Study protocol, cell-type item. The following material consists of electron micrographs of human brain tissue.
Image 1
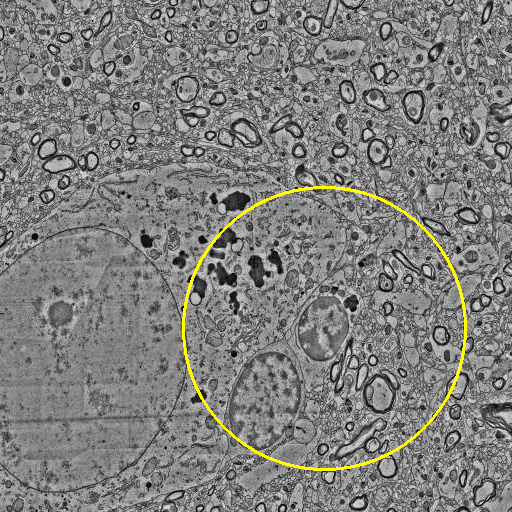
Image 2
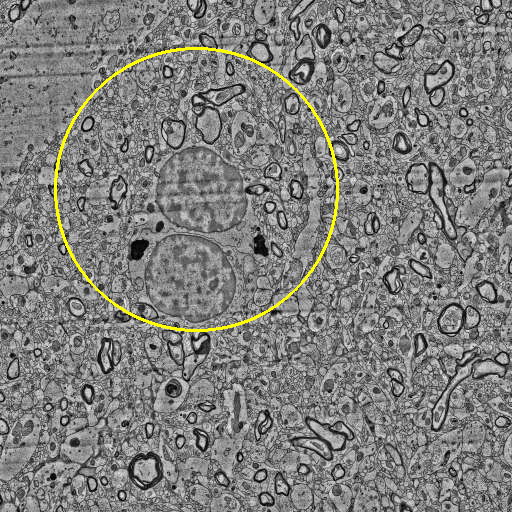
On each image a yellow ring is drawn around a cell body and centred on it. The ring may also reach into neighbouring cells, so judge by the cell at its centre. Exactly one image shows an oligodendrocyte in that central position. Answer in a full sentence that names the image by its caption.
The cell at the centre of the ring in Image 2 is of that kind.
